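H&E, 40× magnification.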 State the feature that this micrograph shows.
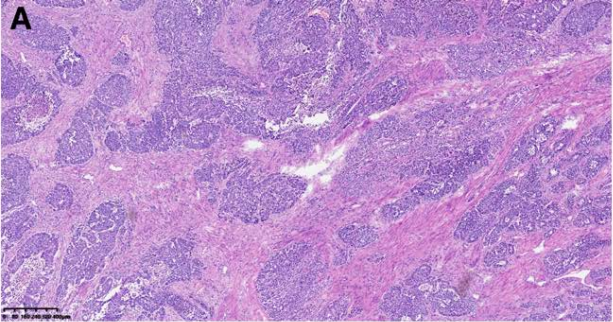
organoid and rosette-like growth pattern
